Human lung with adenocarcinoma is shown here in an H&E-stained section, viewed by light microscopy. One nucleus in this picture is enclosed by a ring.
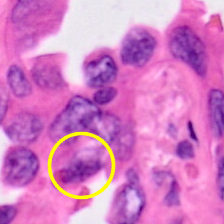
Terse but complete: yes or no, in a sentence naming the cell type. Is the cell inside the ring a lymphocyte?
No, as classified here, the cell inside the ring is a carcinoma cell and not a lymphocyte.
